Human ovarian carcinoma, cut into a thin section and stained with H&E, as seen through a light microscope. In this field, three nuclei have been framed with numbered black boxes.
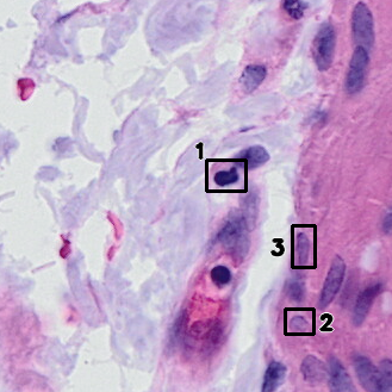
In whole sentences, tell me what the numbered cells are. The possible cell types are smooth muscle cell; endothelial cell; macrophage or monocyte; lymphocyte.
Cell 1 is a lymphocyte. Cells 2 and 3 are smooth muscle cells.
